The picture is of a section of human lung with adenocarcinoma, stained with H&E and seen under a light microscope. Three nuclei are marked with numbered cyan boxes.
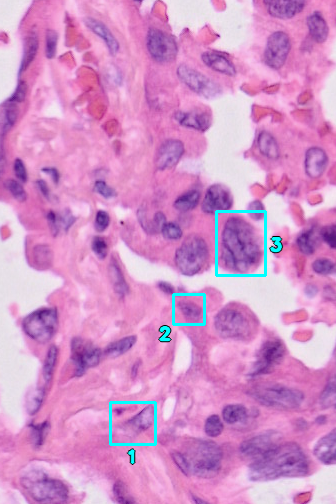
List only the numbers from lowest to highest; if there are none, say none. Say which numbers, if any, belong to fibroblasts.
1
